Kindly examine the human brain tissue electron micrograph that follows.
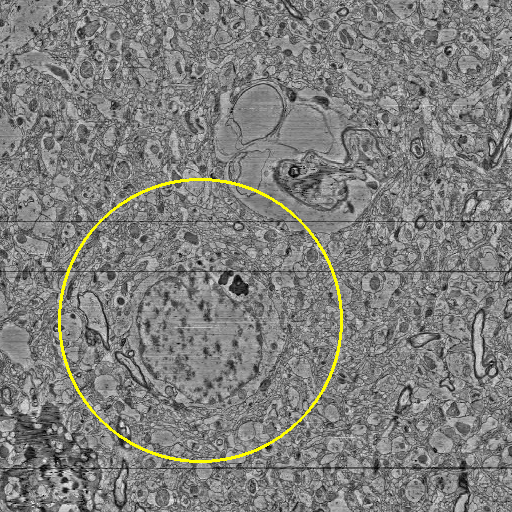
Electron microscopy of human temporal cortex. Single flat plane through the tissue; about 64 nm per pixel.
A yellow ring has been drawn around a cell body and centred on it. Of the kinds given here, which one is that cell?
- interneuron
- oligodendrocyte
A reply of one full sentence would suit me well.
The micrograph's ringed cell, the one at the ring's centre, is an interneuron.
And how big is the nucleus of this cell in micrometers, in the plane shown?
The ringed cell's nucleus is about 8 micrometres across in this plane.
